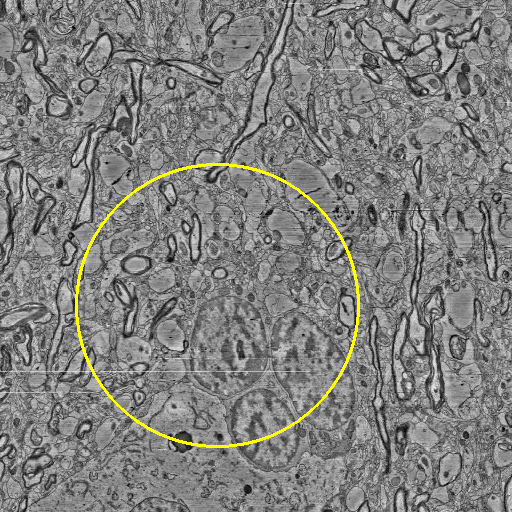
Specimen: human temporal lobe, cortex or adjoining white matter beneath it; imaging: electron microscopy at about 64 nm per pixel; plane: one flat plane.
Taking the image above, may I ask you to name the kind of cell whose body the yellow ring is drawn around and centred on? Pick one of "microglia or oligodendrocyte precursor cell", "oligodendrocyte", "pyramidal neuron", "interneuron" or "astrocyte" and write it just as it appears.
oligodendrocyte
